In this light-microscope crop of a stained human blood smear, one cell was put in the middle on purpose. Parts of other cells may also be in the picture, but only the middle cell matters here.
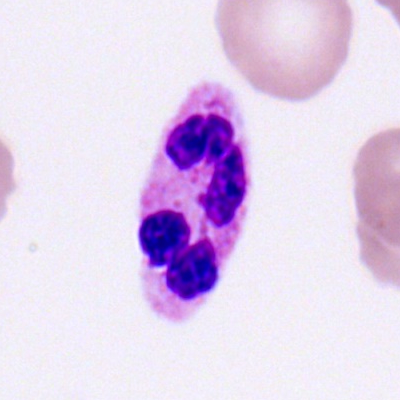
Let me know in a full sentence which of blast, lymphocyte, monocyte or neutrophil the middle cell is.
The cell around which this crop is centred is a neutrophil.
